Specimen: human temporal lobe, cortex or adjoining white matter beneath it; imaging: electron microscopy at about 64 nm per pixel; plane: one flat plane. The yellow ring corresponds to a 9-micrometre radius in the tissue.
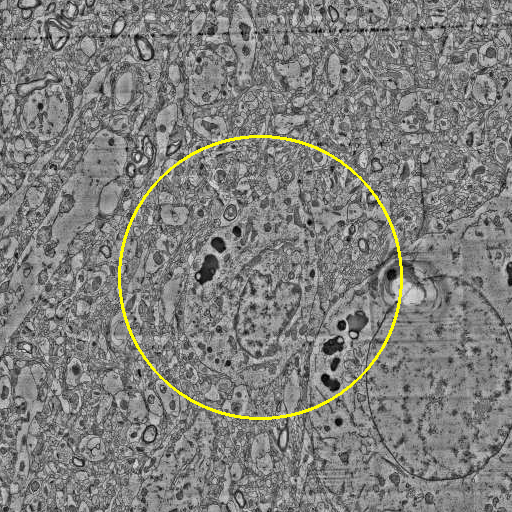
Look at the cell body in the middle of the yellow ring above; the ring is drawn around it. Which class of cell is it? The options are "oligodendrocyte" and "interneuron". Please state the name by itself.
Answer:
interneuron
